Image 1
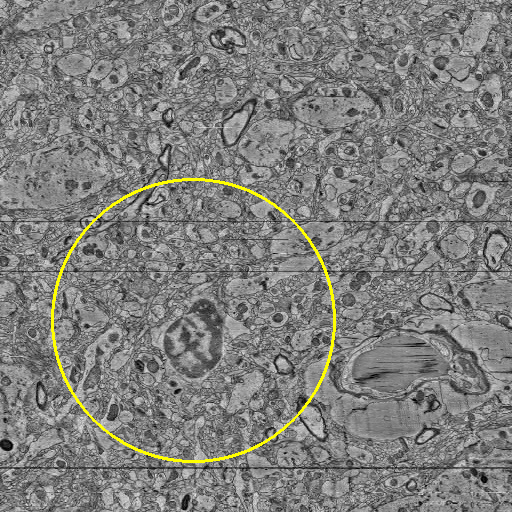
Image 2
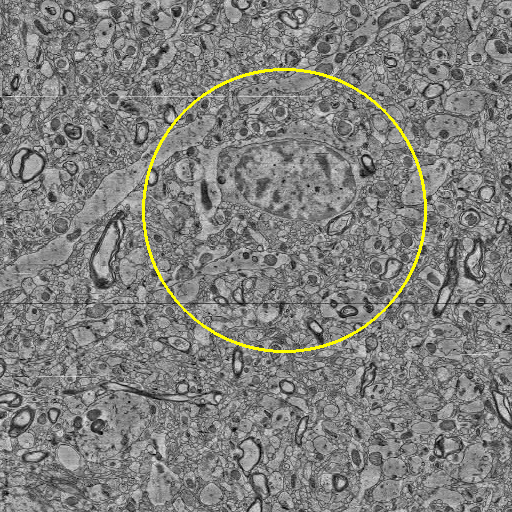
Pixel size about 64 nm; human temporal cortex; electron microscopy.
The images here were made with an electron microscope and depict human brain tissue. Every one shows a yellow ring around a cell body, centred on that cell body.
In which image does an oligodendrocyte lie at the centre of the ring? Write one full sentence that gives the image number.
My answer is image 2, where the asked-for cell sits at the centre of the ring.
